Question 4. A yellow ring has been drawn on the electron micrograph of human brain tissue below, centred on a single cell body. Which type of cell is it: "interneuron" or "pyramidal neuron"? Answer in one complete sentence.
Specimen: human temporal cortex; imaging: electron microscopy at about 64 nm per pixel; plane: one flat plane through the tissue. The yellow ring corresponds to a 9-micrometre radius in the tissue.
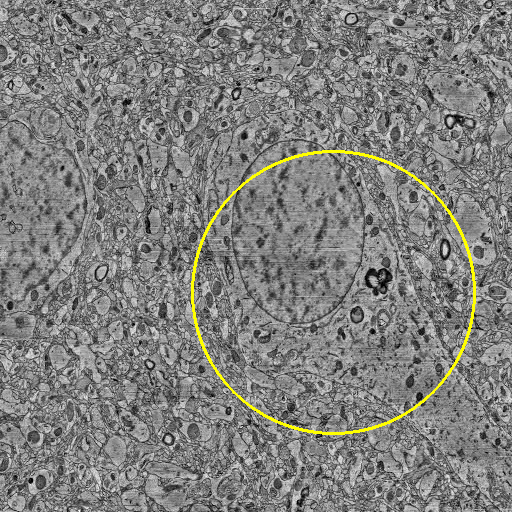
This cell body belongs to a pyramidal neuron.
